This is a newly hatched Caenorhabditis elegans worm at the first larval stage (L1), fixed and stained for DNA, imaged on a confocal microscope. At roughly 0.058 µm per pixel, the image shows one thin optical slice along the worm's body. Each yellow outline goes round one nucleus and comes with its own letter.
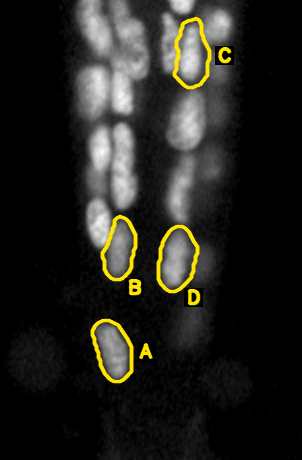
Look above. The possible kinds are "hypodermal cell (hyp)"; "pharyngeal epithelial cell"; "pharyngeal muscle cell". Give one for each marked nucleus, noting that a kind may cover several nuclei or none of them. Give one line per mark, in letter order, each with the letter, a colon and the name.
A: hypodermal cell (hyp)
B: pharyngeal epithelial cell
C: pharyngeal epithelial cell
D: pharyngeal epithelial cell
